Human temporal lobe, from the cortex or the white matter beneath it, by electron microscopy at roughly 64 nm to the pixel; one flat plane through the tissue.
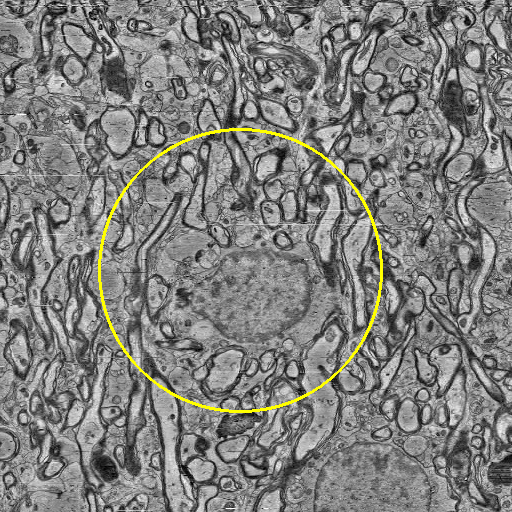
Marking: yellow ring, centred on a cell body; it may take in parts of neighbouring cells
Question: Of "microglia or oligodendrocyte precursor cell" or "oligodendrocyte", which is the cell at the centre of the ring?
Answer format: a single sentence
The ring surrounds the body of an oligodendrocyte.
